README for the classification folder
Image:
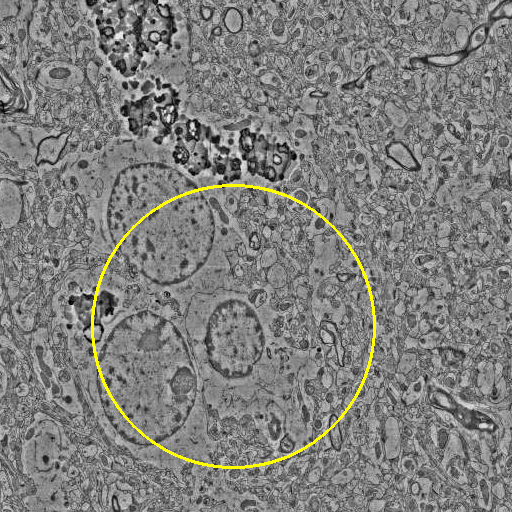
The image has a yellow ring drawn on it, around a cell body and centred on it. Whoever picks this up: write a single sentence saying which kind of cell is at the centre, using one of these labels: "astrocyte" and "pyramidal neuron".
This cell body is that of an astrocyte.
